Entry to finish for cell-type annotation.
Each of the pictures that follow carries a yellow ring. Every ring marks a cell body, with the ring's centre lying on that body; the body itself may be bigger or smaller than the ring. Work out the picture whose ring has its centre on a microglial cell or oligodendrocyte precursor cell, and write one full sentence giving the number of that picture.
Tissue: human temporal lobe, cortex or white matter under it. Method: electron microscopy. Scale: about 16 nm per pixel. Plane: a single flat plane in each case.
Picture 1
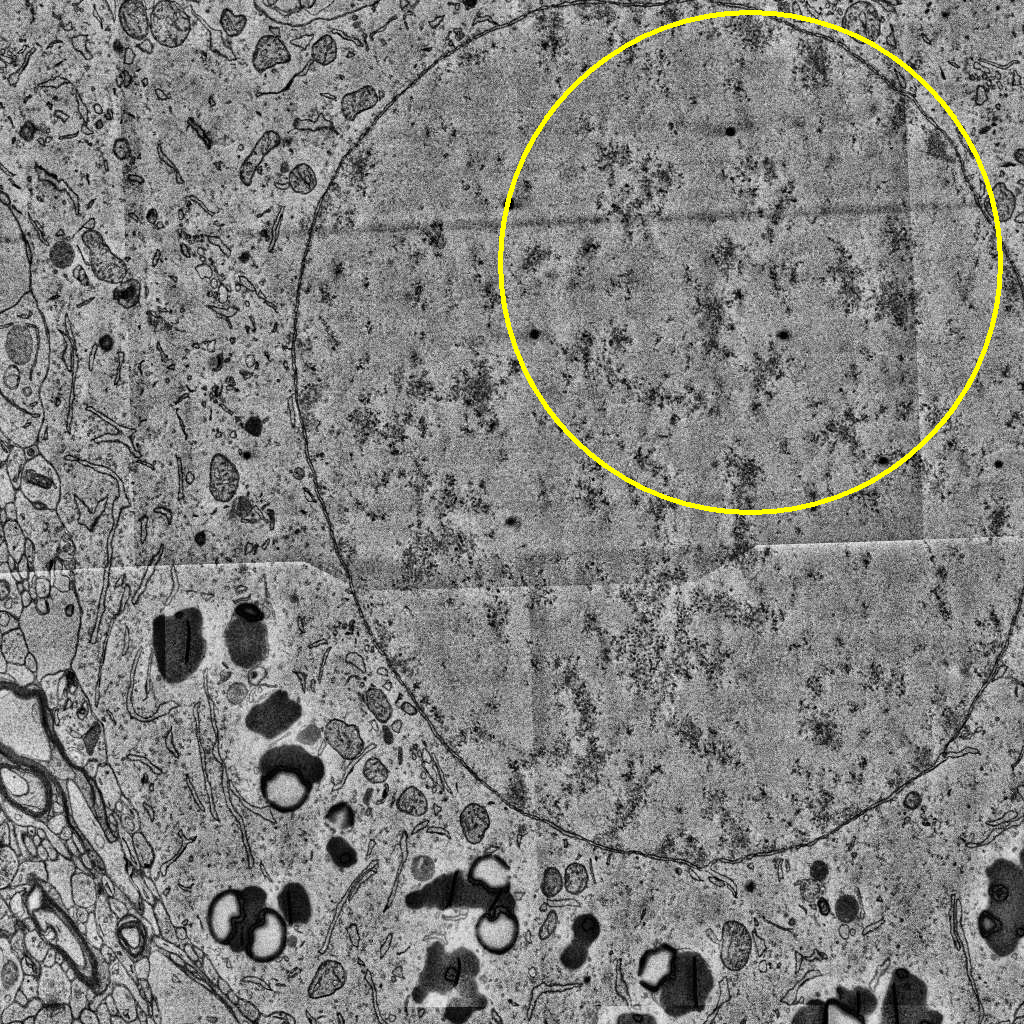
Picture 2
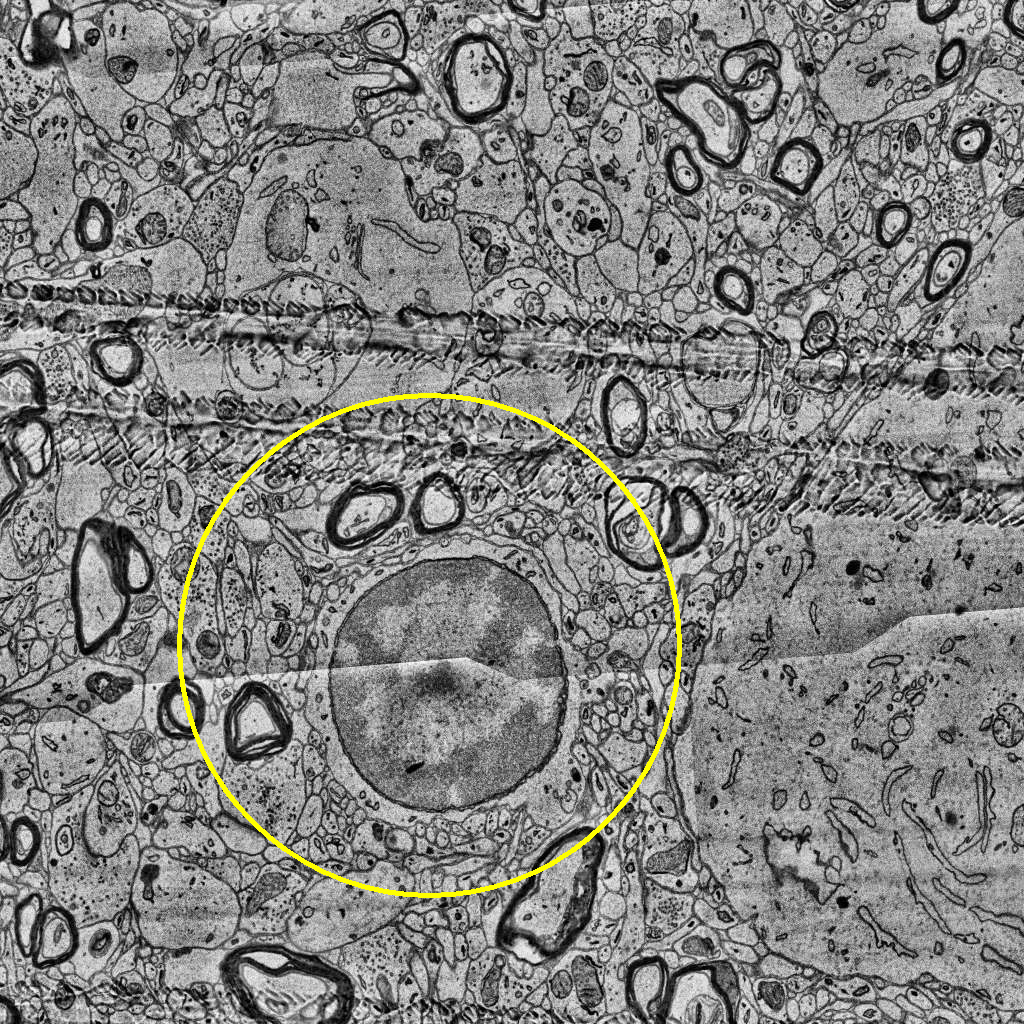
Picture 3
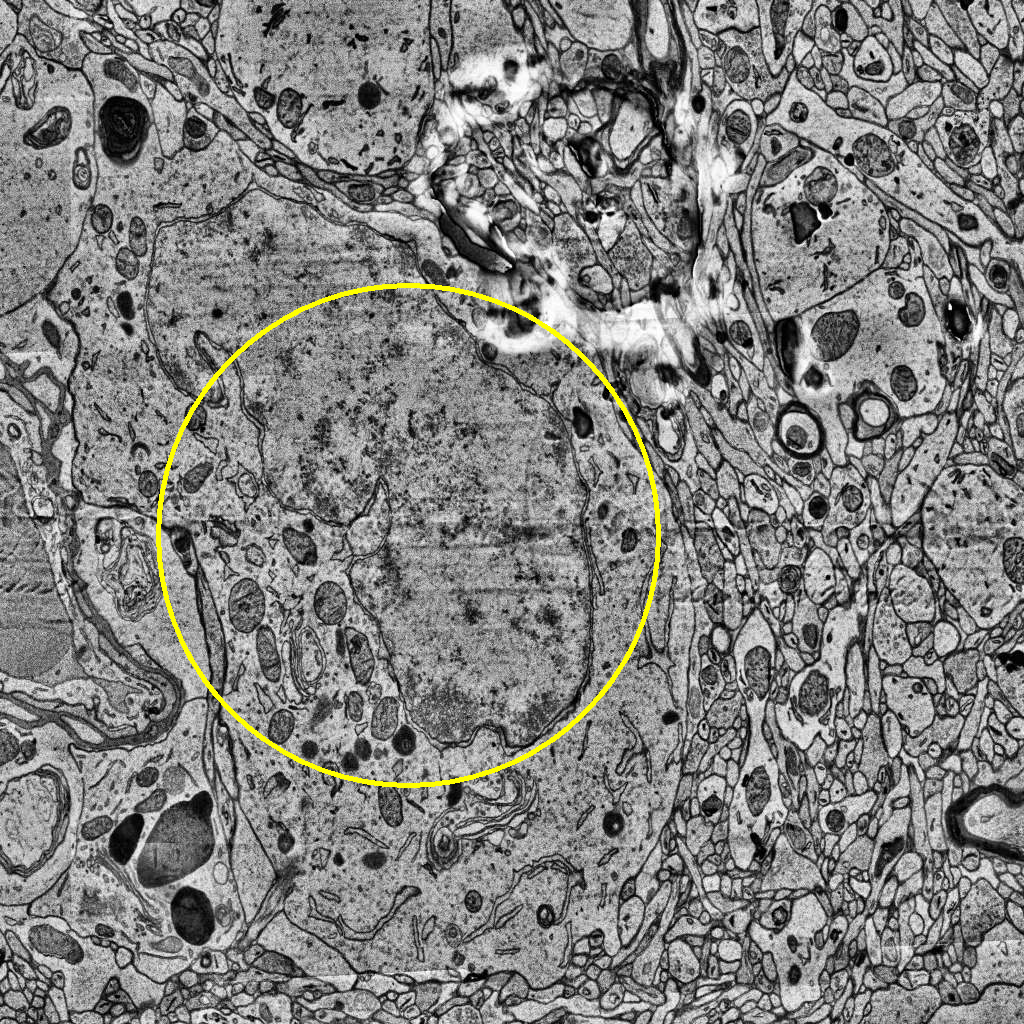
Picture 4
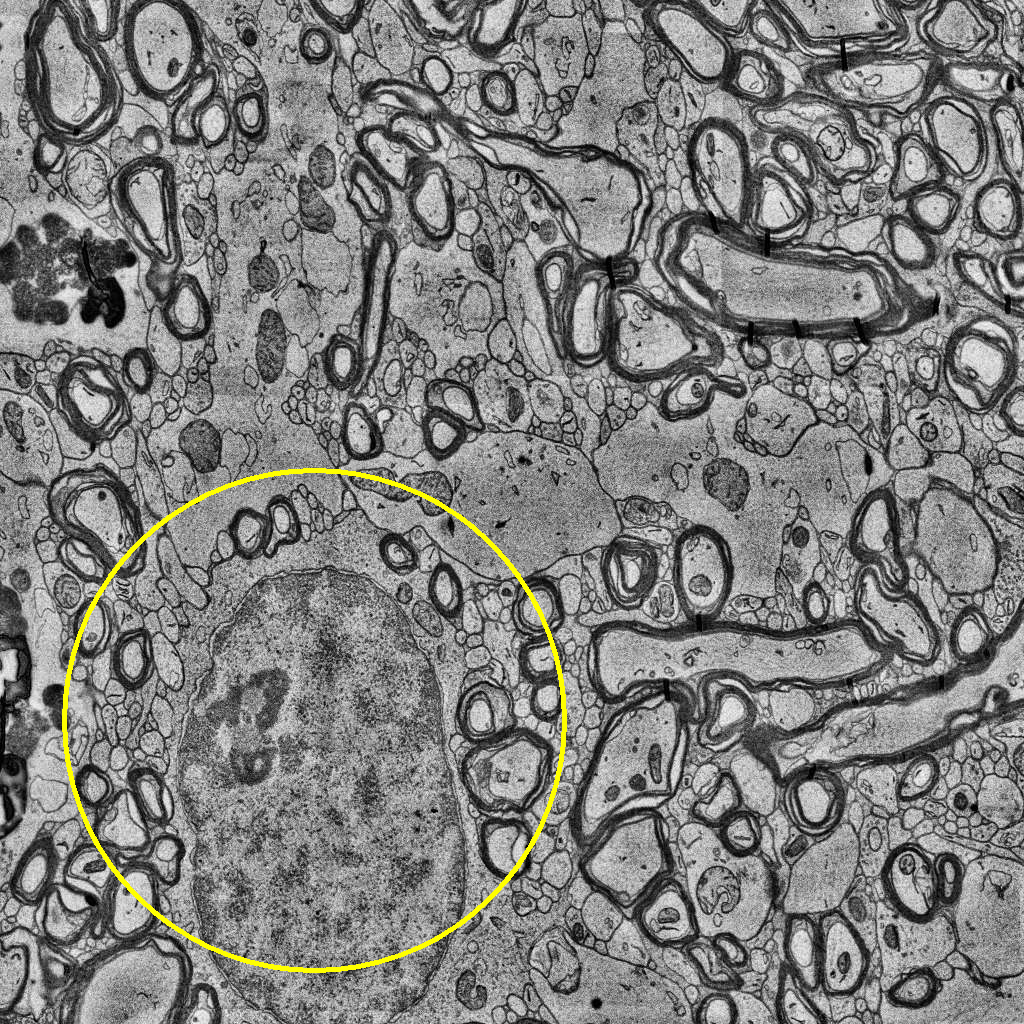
The cell lying at the ring's centre in picture 2 matches the request.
